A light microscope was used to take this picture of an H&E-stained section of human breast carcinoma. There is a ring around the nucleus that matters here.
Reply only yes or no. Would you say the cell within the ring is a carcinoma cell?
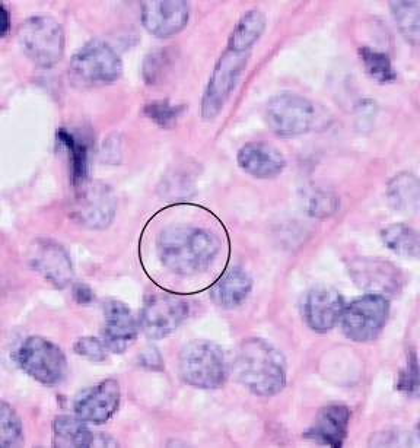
yes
